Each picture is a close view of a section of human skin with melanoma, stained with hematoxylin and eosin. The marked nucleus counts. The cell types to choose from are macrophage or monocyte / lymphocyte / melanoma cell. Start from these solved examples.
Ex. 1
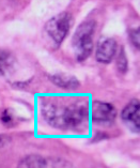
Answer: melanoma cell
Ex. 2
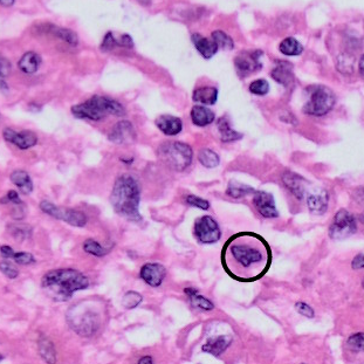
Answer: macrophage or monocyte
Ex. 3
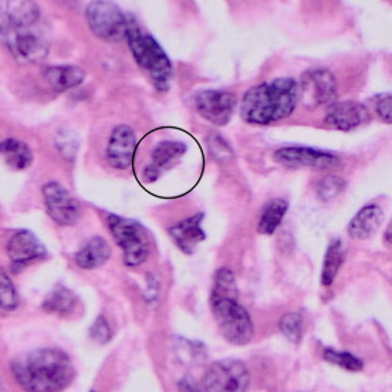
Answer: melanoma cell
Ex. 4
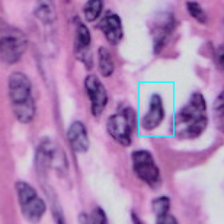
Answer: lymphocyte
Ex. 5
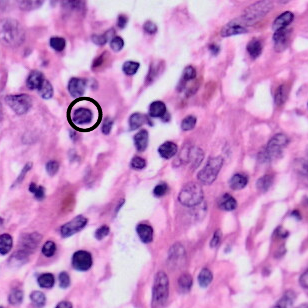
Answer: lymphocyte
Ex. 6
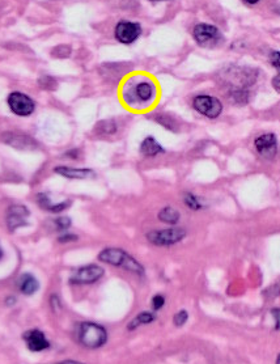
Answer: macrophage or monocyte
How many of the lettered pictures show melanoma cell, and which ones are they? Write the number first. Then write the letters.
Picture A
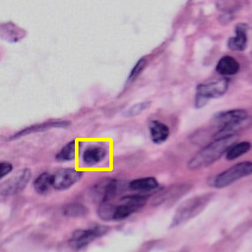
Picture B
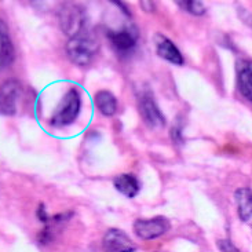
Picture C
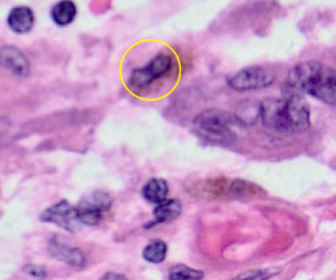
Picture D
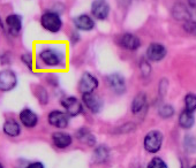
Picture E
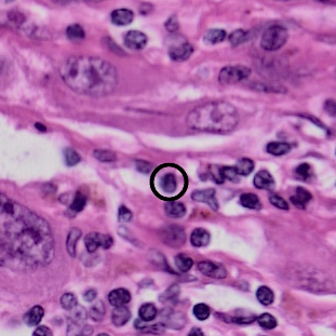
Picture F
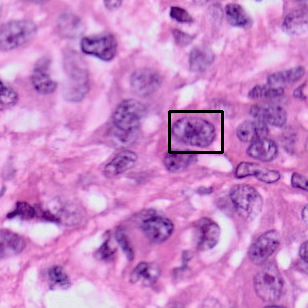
1: F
